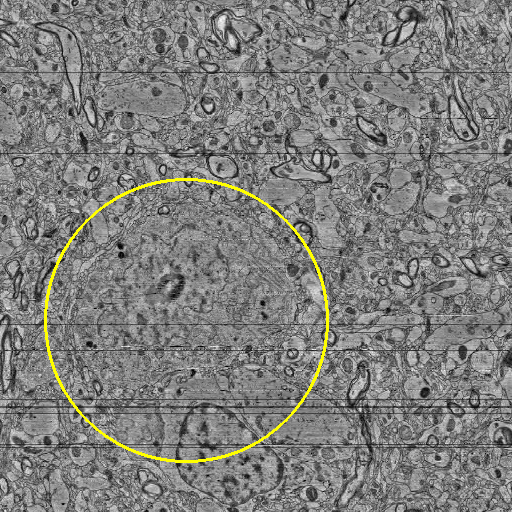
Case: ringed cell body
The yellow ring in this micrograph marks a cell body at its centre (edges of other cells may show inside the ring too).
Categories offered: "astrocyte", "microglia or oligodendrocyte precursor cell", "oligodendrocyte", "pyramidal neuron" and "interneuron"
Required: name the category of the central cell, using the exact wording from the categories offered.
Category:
interneuron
